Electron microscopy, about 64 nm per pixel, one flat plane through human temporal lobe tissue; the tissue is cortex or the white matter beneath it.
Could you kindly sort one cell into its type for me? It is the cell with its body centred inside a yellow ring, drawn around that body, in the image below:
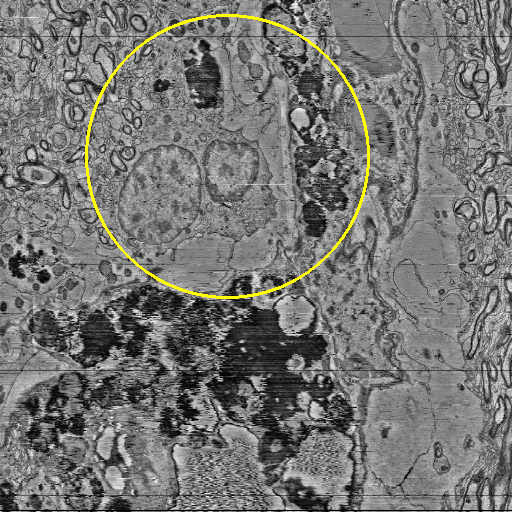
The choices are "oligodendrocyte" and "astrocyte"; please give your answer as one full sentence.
The cell whose body lies centred in the yellow ring here is an oligodendrocyte.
